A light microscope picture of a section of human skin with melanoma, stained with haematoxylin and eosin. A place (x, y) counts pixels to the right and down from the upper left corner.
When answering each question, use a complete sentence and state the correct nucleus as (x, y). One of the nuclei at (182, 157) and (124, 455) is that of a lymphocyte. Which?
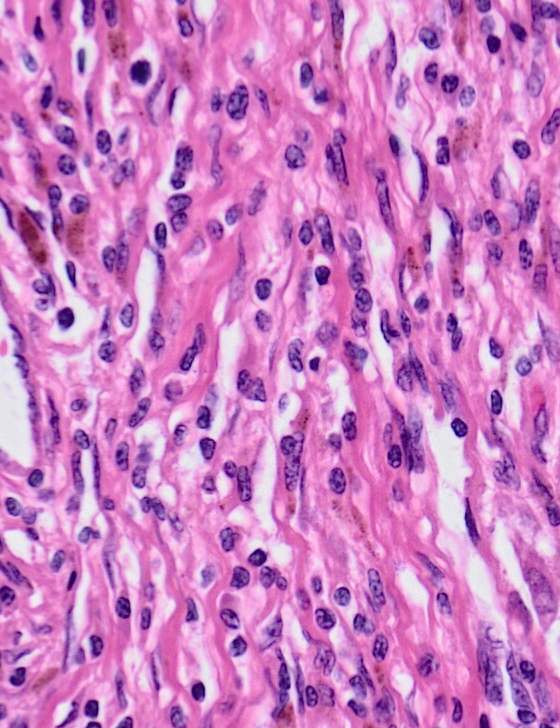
Of the two candidate nuclei, the one at (124, 455) is that of a lymphocyte.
